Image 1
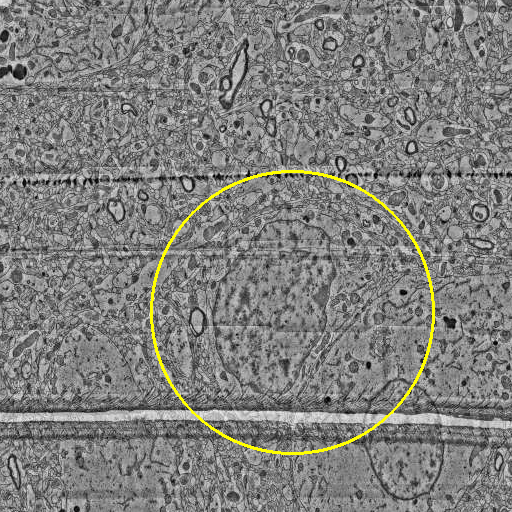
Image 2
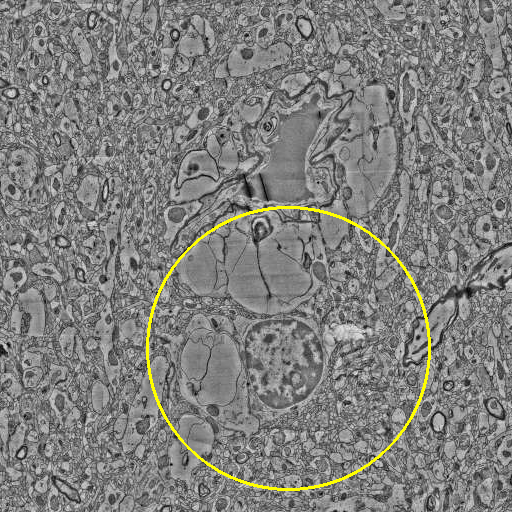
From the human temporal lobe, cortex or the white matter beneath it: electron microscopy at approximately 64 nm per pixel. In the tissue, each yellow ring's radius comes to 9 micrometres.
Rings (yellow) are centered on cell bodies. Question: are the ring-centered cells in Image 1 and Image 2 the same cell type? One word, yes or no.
no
